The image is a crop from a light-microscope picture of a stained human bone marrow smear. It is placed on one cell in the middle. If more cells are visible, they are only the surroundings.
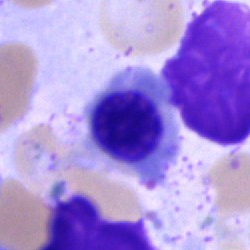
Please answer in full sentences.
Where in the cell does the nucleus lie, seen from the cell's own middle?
The nucleus lies toward the left of the cell.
